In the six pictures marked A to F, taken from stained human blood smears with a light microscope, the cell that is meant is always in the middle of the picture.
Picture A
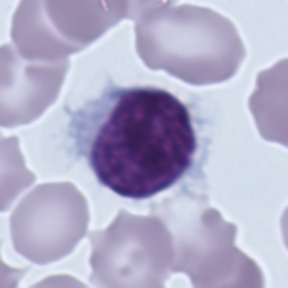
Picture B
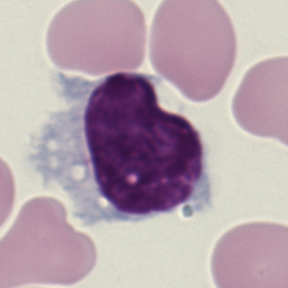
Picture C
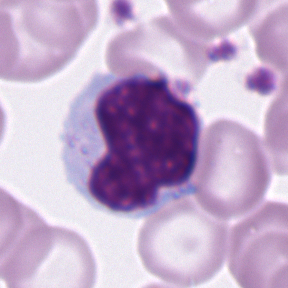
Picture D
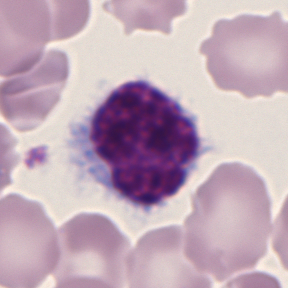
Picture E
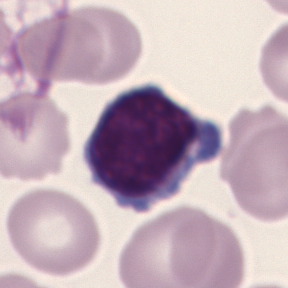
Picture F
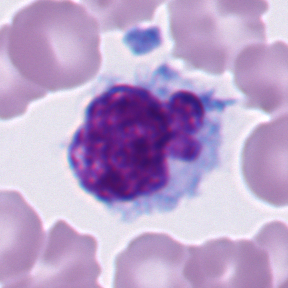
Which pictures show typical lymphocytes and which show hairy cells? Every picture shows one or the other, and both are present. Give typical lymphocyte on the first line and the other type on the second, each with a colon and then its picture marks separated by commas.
typical lymphocyte: C, E
hairy cell: A, B, D, F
